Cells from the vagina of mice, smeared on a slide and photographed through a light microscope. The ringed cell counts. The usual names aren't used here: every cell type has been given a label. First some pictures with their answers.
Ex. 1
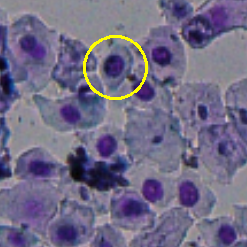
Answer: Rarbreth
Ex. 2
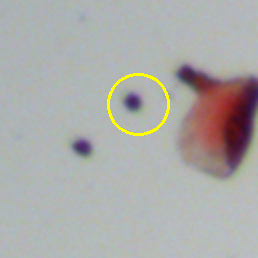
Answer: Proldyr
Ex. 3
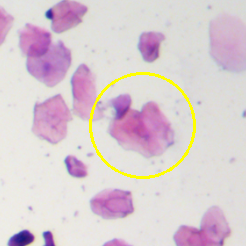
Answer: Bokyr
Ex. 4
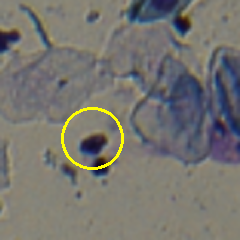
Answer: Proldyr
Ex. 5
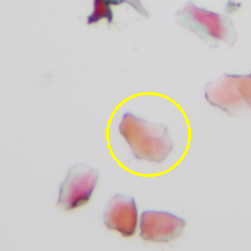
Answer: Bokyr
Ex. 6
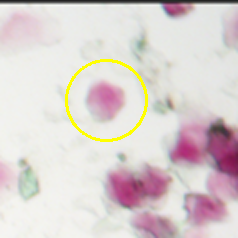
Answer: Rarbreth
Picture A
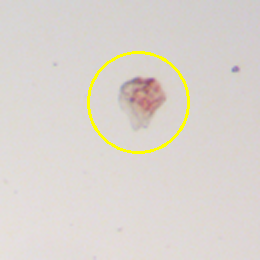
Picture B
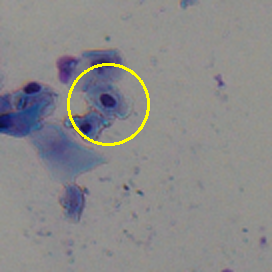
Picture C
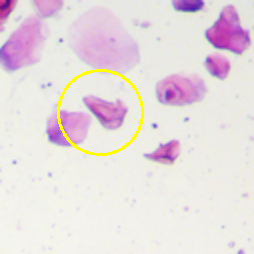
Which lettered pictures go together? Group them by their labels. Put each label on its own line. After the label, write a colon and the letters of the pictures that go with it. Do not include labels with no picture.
Rarbreth: B
Bokyr: A, C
